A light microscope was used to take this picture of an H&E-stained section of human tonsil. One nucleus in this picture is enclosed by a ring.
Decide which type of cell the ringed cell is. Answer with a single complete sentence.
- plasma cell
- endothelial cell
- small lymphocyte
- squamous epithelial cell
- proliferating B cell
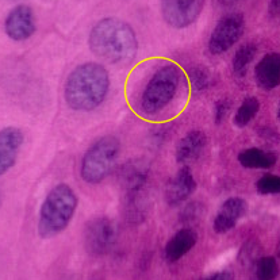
The correct response here is that the ringed cell is a squamous epithelial cell.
